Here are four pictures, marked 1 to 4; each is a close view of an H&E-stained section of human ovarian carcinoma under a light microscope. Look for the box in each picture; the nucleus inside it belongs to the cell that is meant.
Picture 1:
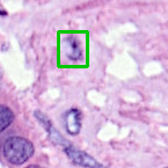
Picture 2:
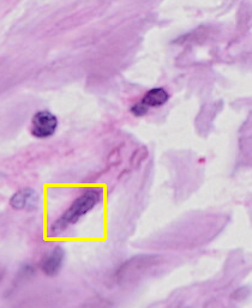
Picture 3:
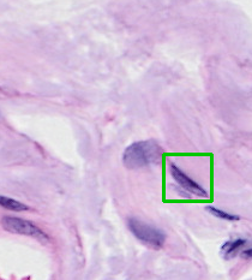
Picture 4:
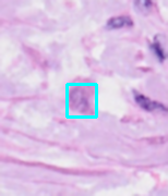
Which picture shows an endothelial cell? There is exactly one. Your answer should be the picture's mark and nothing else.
2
